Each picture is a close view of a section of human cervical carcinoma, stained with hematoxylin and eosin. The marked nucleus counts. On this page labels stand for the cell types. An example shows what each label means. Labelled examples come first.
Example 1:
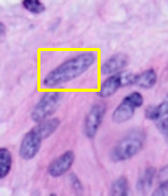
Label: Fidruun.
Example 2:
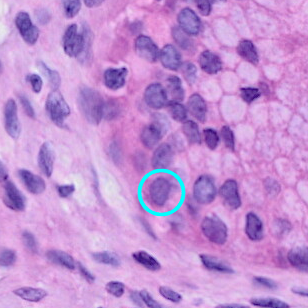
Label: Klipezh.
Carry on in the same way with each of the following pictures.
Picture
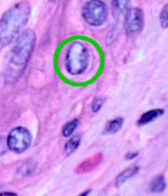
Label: Fidruun.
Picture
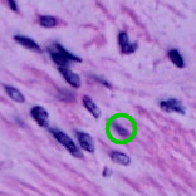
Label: Fidruun.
